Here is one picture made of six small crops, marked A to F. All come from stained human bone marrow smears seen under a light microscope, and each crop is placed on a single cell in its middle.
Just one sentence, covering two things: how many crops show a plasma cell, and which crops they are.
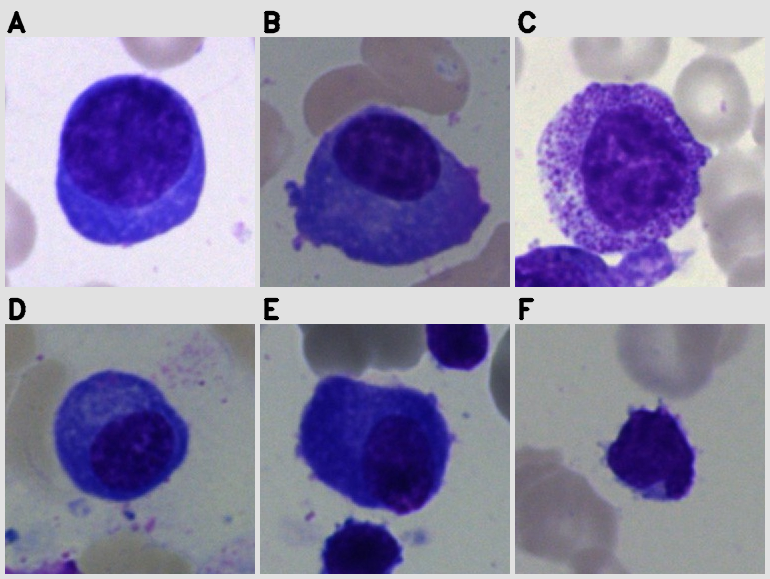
Crops A, B, D and E, four in number, show plasma cells.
